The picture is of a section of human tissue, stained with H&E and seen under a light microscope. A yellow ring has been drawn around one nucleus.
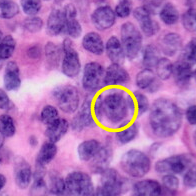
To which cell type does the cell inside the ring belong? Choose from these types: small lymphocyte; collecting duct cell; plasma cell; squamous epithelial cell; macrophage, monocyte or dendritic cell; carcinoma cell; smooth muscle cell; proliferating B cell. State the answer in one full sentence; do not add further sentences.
In cellular terms, the cell inside the ring is a proliferating B cell.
